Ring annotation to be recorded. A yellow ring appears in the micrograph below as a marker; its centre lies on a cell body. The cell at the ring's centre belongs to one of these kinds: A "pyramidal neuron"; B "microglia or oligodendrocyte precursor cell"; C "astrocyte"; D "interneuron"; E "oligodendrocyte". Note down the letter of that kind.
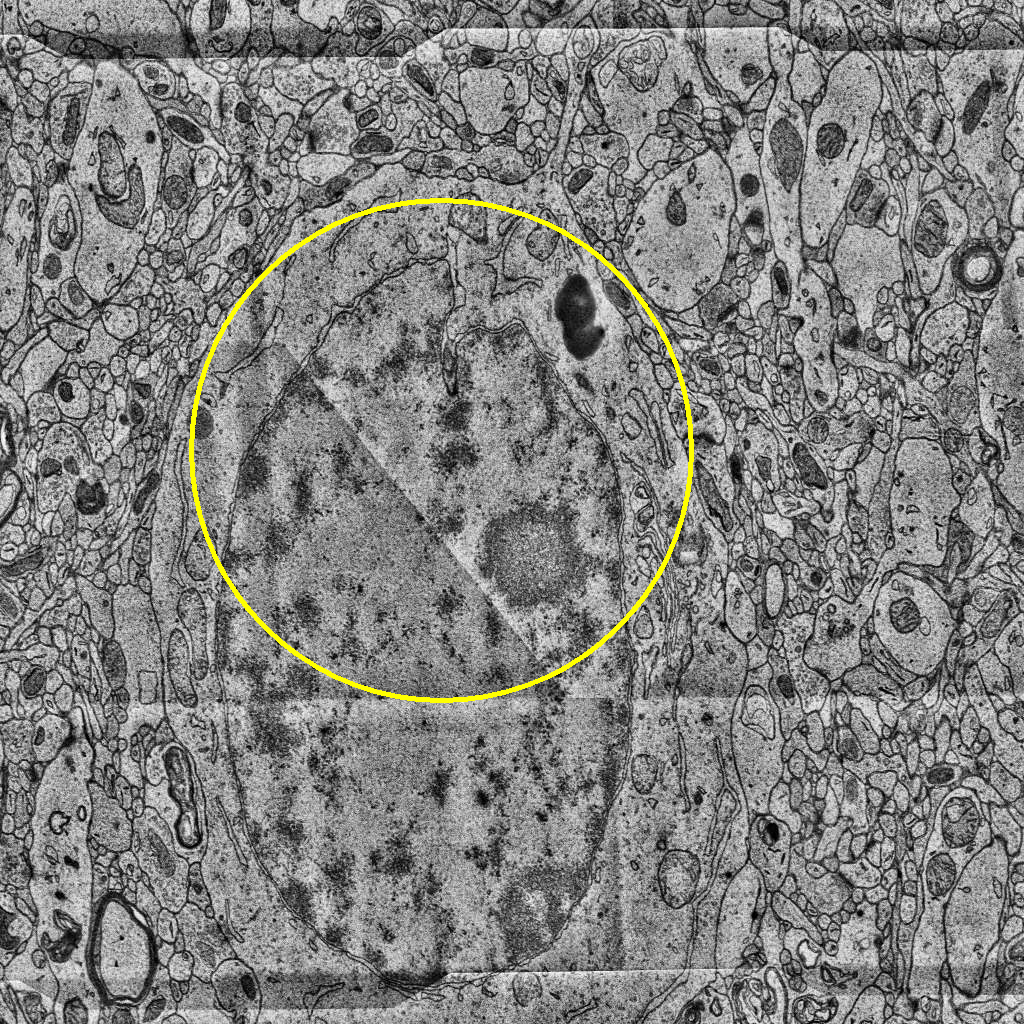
D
